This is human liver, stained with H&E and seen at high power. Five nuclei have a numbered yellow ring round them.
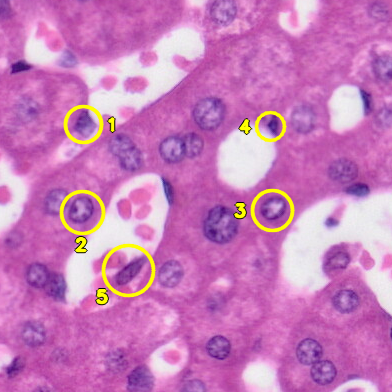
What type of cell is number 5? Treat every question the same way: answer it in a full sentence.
The nucleus labelled 5 belongs to a Kupffer cell.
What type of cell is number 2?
The cell given label 2 is a hepatocyte.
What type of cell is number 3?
The cell whose nucleus carries the number 3 is a hepatocyte.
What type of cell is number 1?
The cell tagged with 1 in this tissue section is an endothelial cell.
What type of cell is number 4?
The cell pointed out as number 4 is a fibroblast or stellate cell.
